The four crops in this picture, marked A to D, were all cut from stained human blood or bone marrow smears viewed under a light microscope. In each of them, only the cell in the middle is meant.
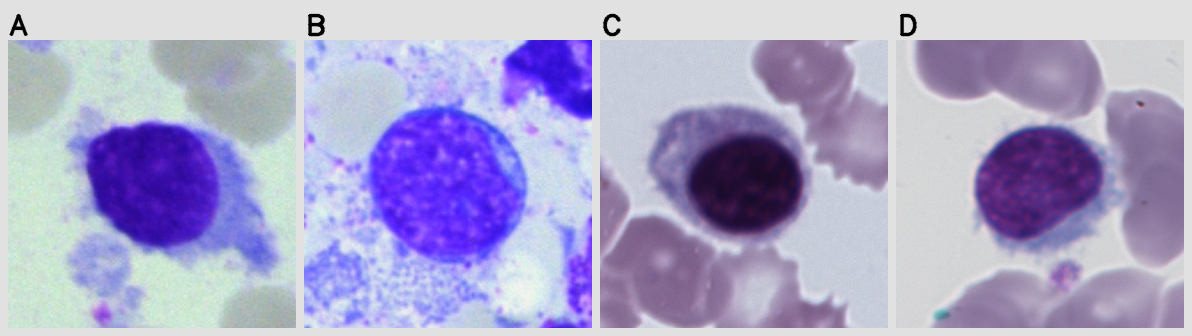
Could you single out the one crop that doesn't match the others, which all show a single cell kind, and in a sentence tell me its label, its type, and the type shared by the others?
Although the other crops all show hairy cells, crop B shows a blast.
